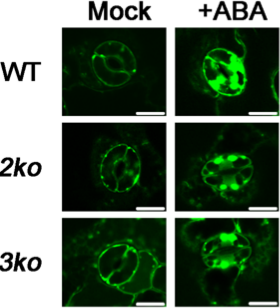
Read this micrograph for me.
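These are pairs of guard cells surrounding a stomatal pore, shown by green fluorescence. In one column the green is faint and mostly confined to thin outlines along the guard cell borders. In the other column the guard cells fluoresce more brightly, with green filling the cell interiors and concentrated in bright rounded bodies. Outlines of neighbouring epidermal cells are faintly visible around some pairs.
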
